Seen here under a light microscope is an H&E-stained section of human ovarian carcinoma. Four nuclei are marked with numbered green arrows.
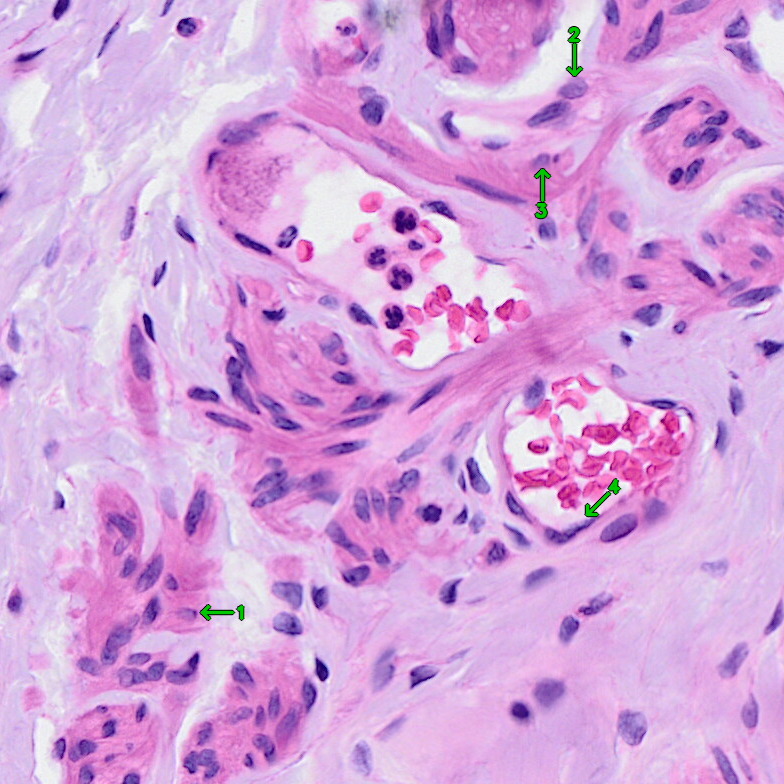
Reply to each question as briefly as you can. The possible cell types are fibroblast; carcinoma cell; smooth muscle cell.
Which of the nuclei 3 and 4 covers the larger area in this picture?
4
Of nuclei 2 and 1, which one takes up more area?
2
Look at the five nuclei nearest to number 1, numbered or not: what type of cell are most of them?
smooth muscle cell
